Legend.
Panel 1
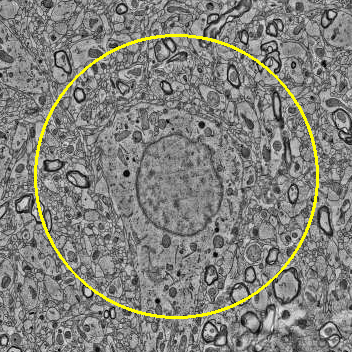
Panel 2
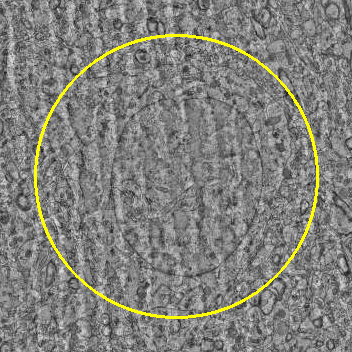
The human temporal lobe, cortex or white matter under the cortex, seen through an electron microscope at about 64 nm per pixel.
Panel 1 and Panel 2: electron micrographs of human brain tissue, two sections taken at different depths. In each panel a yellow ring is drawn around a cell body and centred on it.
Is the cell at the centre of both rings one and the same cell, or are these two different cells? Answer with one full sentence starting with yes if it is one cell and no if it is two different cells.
Yes, the cell marked in each ring is one and the same.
